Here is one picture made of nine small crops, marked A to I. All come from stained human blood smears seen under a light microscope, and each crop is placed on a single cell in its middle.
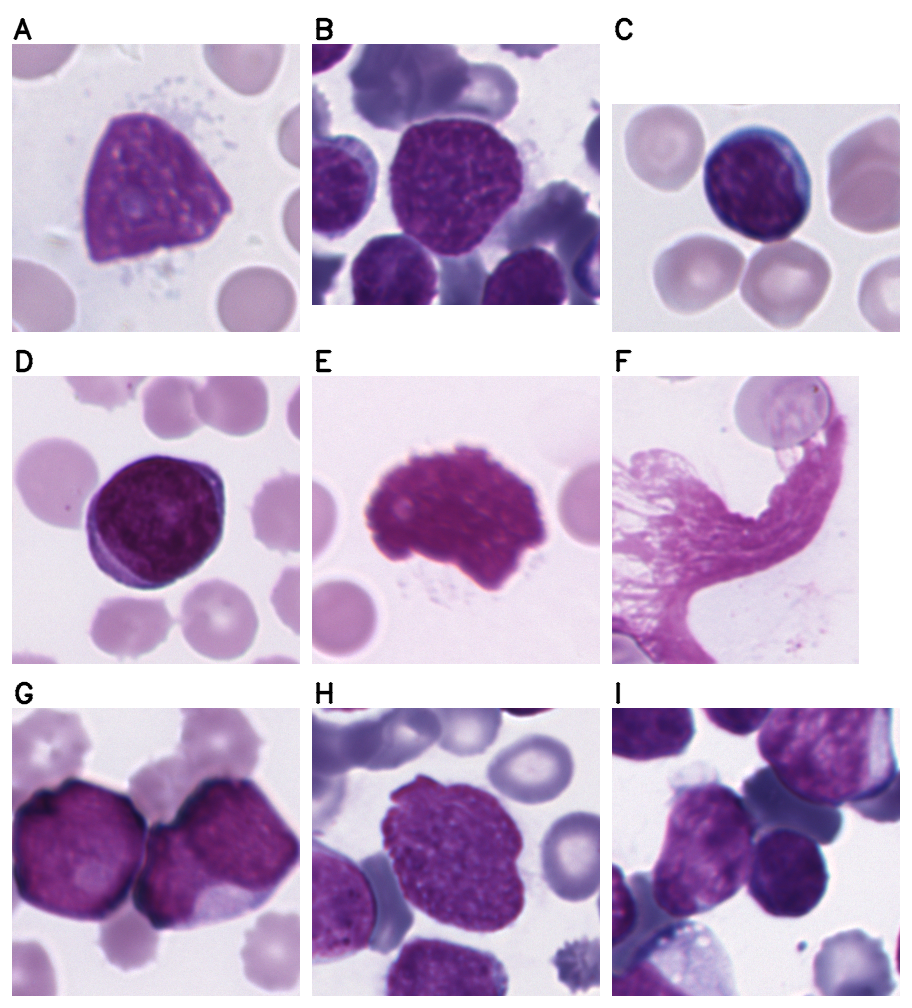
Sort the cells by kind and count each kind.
smudge cell: 4
myeloblast: 4
typical lymphocyte: 1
